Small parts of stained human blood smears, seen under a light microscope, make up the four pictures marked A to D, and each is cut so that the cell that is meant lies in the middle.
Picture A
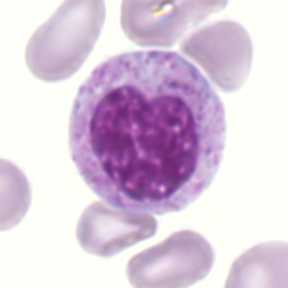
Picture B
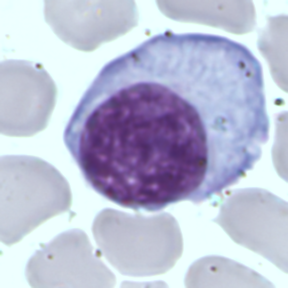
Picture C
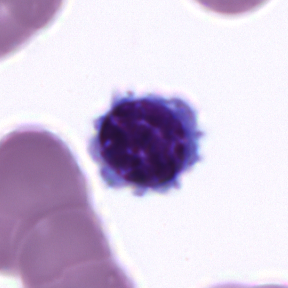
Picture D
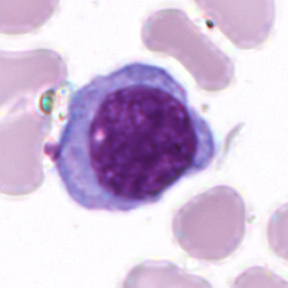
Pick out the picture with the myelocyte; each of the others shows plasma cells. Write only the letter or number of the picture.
A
